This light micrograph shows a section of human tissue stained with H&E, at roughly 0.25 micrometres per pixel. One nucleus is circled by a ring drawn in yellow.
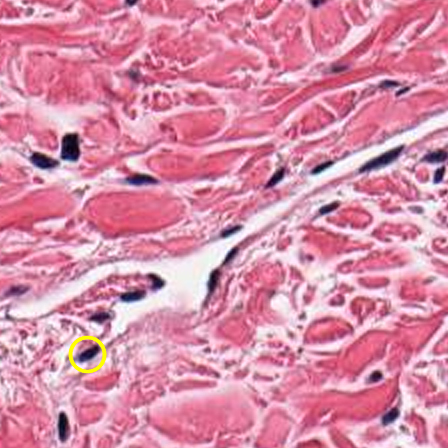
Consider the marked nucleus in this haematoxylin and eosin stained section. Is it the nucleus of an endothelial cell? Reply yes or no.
no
